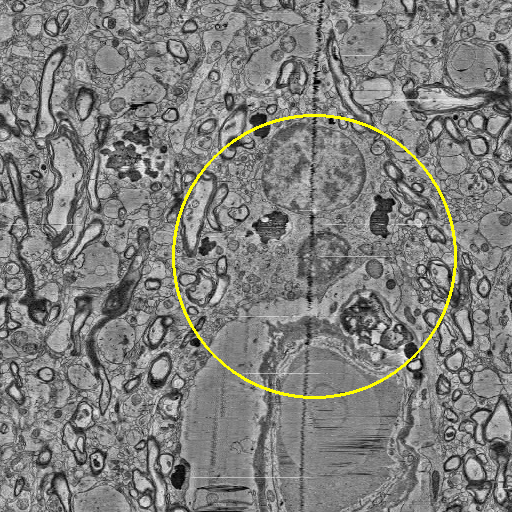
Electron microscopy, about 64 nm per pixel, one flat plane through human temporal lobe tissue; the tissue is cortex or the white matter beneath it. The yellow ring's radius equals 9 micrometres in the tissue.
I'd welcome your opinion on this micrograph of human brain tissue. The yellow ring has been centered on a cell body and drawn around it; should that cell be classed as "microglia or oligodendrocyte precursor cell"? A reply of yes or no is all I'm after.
no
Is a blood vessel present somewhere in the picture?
Yes, a vessel shows somewhere in the image.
